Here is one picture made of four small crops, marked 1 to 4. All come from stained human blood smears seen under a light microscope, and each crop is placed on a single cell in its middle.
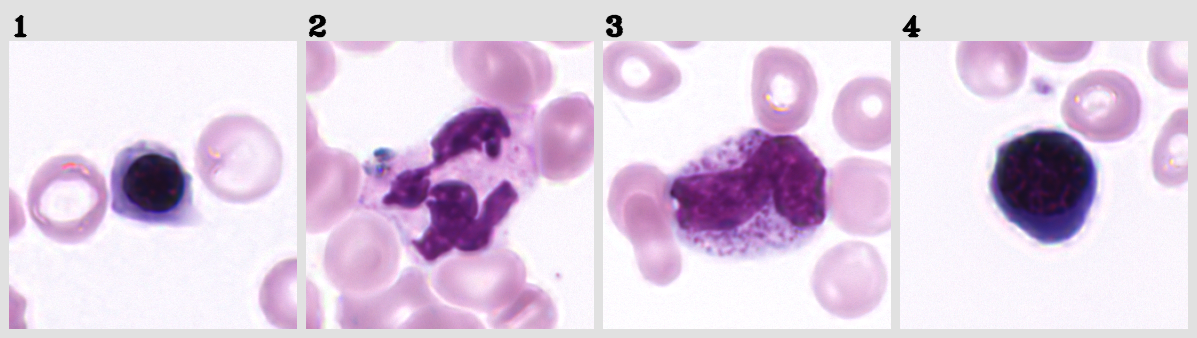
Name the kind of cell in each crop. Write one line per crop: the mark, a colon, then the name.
1: erythroblast
2: segmented neutrophil
3: band neutrophil
4: erythroblast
